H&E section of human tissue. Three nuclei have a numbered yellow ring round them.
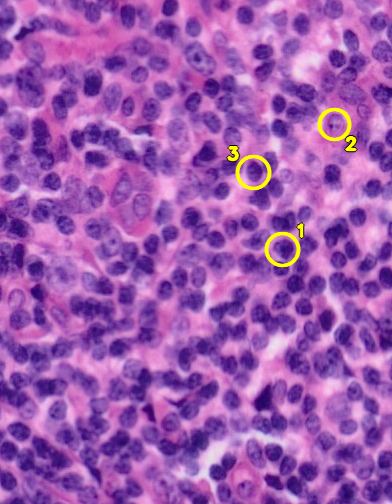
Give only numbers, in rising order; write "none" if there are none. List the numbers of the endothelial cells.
2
